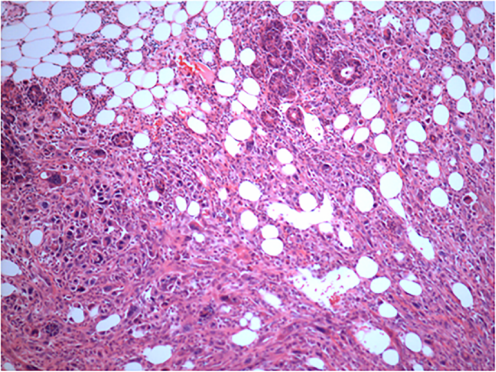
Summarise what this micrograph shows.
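This is a spindle cell tumor in which elongated, irregular tumor cells lie in disorganized sweeps instead of forming cohesive nests. The tumor infiltrates fatty tissue, so many clear, round empty-looking fat cells are scattered through it, especially in the upper part. Pink collagenous stroma runs between the tumor cells, and a few small round clusters of cells are dotted through the field.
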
